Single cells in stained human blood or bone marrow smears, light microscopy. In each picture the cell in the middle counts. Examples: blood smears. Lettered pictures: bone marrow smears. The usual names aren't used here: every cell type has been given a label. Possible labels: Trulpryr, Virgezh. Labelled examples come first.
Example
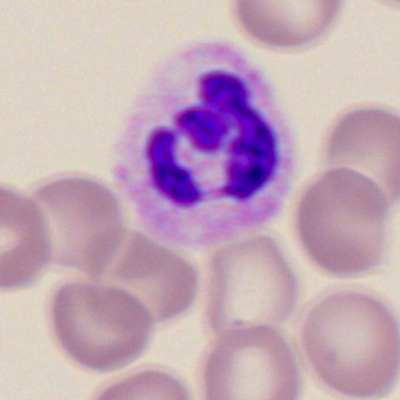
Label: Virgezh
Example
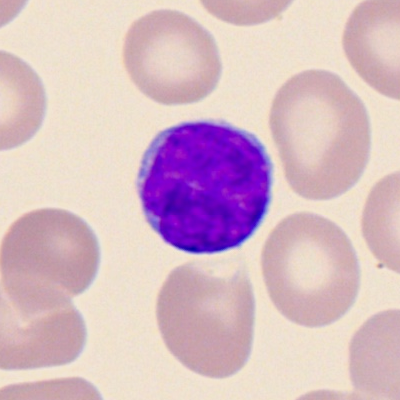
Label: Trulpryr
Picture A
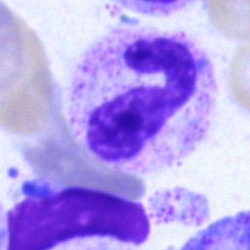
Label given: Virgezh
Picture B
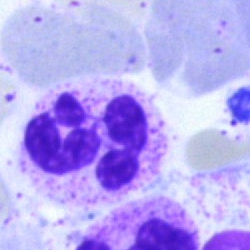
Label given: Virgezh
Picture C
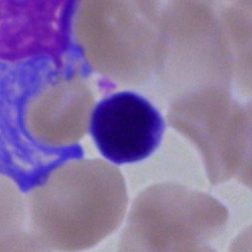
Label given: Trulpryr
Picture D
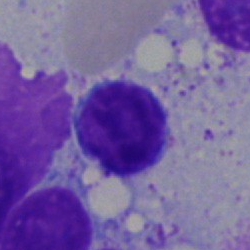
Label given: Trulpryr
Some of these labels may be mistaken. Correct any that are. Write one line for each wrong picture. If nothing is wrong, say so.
No label is wrong.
